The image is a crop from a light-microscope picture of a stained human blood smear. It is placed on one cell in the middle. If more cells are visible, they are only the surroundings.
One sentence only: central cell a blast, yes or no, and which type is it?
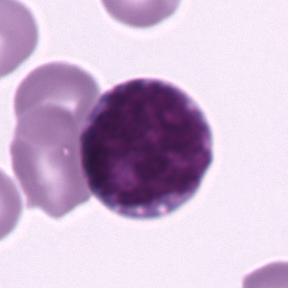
Yes, in this crop the cell in the middle is a blast.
